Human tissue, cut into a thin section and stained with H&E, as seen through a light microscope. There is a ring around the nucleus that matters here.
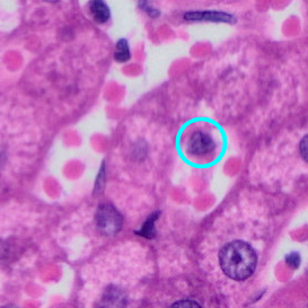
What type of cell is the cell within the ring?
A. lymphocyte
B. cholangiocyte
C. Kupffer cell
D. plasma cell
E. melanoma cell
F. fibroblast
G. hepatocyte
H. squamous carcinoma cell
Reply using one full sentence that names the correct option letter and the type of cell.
According to option C, the cell within the ring is a Kupffer cell, and this is correct.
